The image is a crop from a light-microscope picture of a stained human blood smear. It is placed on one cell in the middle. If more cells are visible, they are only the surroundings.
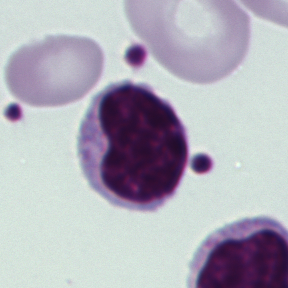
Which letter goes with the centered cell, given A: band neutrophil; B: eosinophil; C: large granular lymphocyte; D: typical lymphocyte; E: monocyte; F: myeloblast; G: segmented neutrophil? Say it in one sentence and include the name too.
Located in the middle of the crop is a large granular lymphocyte, and option C is therefore correct.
